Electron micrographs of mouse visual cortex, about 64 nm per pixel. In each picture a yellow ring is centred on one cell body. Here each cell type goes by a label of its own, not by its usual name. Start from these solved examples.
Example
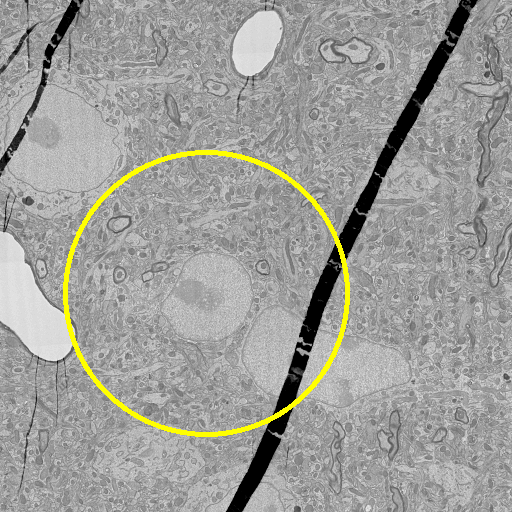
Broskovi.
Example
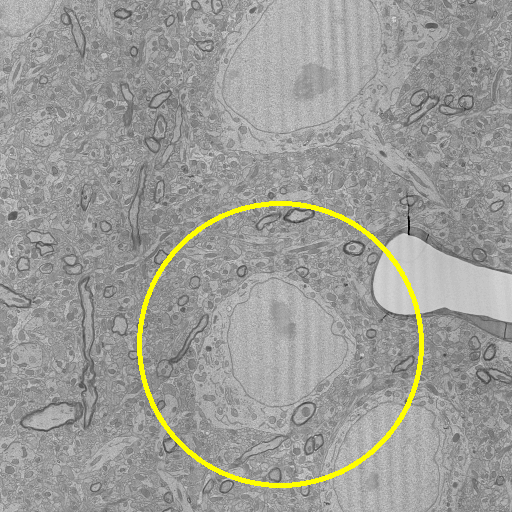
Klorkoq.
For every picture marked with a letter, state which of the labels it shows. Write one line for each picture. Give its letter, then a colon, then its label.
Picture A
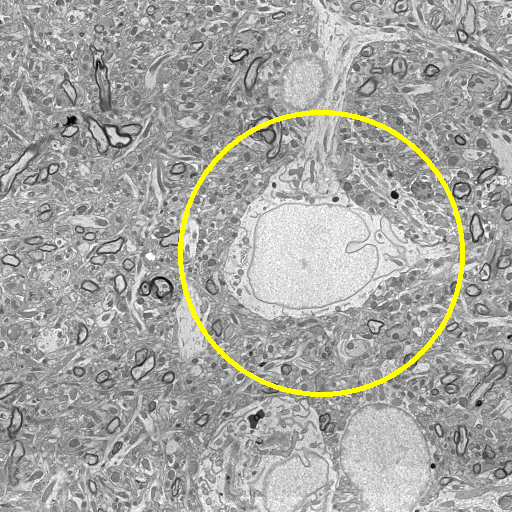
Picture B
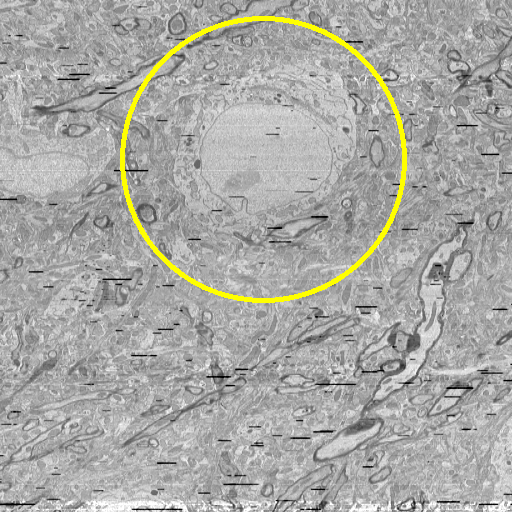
A: Klorkoq.
B: Klorkoq.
